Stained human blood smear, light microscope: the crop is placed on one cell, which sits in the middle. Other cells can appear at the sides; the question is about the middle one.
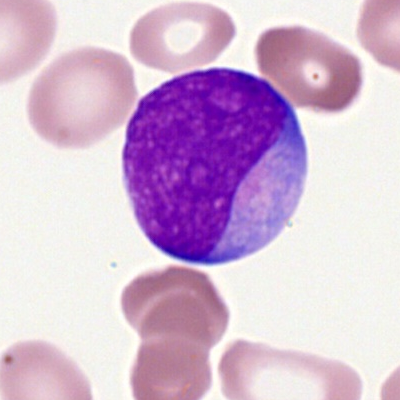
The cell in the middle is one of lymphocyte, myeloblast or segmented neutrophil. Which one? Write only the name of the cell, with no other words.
myeloblast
